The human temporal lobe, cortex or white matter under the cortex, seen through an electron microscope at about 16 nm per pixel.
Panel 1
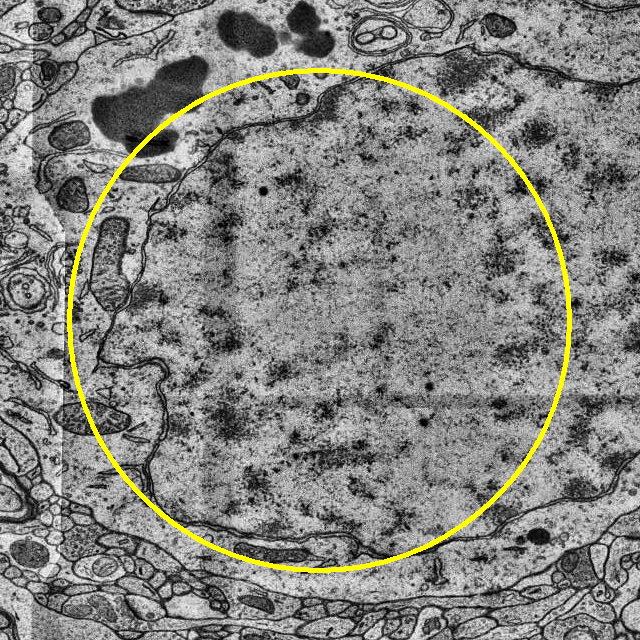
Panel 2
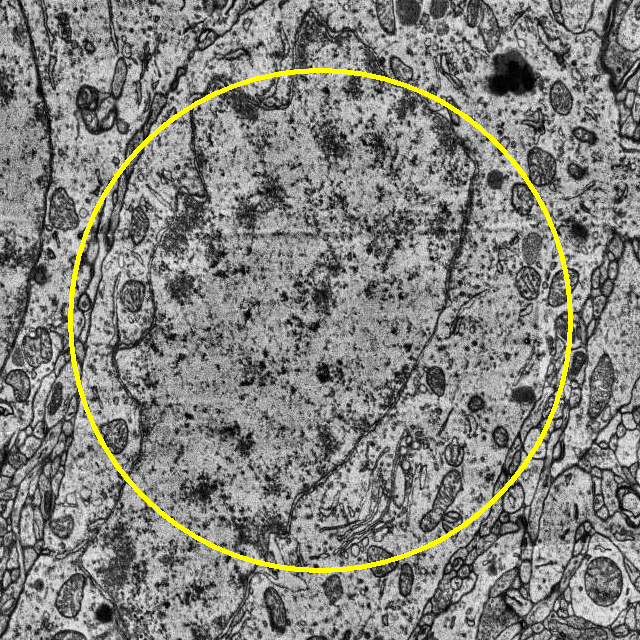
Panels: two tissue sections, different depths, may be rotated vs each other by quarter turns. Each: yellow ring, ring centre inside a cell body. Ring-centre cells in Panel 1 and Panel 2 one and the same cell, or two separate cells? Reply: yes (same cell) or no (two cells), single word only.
no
